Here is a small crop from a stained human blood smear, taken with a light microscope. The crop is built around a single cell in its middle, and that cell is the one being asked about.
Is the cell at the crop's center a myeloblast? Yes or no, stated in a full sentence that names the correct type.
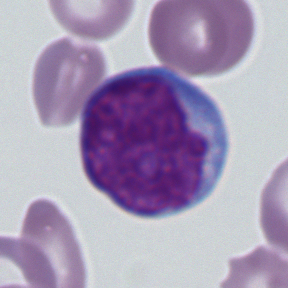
Yes, the cell lying in the middle is a myeloblast.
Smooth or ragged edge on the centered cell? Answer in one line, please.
The membrane contour is even and smooth, with nothing projecting from it.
